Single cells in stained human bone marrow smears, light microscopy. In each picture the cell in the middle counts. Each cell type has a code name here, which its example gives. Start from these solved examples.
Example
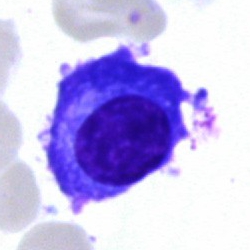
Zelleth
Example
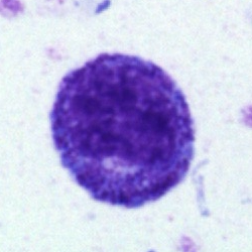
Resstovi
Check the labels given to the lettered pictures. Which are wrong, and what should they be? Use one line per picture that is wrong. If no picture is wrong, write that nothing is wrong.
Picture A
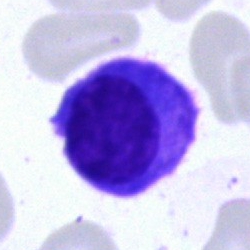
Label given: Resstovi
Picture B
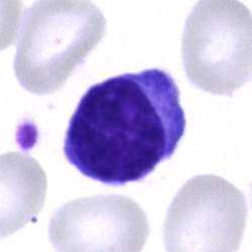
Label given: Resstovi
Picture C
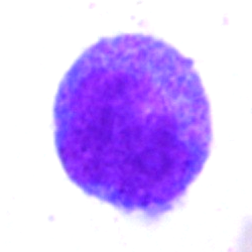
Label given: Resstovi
A should be Zelleth, not Resstovi
B should be Zelleth, not Resstovi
